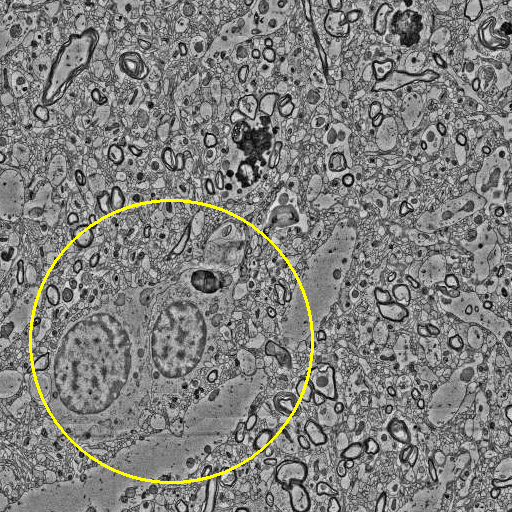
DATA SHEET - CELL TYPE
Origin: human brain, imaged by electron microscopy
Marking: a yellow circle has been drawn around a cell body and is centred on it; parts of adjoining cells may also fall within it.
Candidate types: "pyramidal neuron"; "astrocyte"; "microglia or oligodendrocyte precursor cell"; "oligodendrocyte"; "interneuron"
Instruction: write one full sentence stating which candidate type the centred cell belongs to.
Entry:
The cell body at the centre of the yellow ring in this micrograph belongs to an oligodendrocyte.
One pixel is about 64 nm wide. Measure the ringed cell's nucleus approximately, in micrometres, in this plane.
The nucleus works out at approximately 5 by 3 micrometres in this plane.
